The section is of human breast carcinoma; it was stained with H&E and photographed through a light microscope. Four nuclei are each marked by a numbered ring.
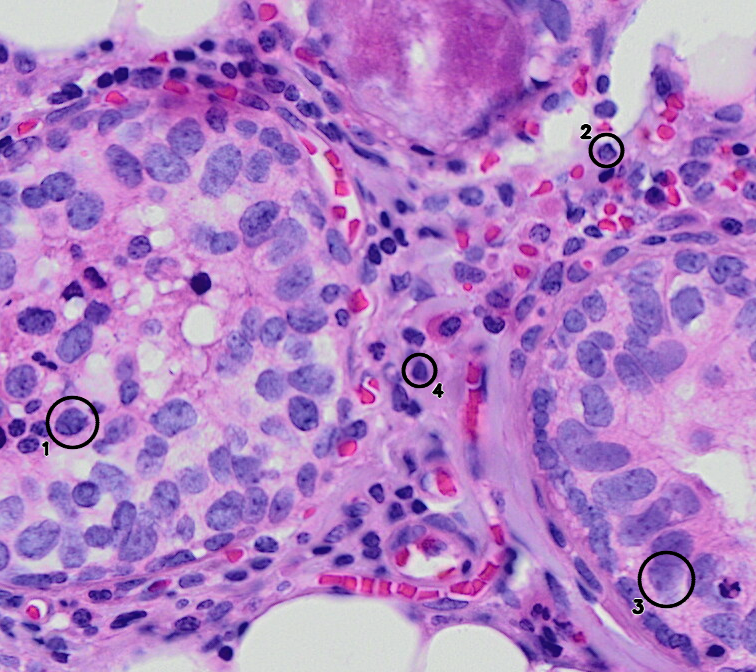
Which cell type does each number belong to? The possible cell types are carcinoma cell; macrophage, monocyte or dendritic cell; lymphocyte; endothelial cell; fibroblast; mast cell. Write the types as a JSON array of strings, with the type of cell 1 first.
["carcinoma cell", "lymphocyte", "carcinoma cell", "lymphocyte"]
